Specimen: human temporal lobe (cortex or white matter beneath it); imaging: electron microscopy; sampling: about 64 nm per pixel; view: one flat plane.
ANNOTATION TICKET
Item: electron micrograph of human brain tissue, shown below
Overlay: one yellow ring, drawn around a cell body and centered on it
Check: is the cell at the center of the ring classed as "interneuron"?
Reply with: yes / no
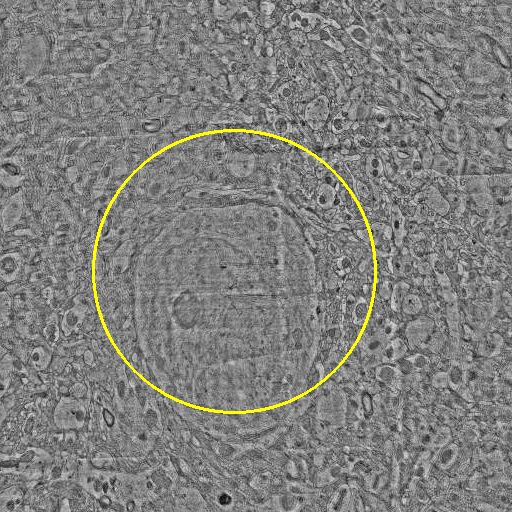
yes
